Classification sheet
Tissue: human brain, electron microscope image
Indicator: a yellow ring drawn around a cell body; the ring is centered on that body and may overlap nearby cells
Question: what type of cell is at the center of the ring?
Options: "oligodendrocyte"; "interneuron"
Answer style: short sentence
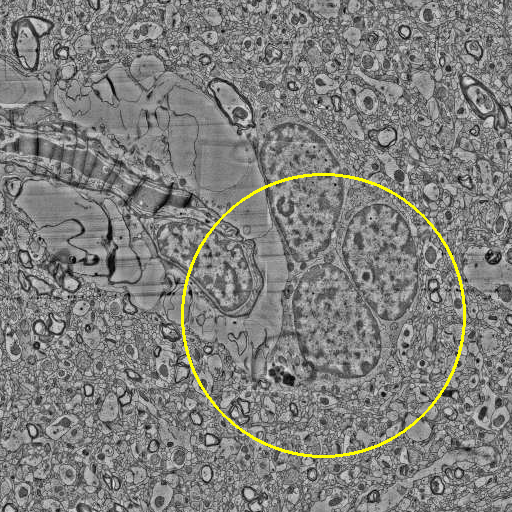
At the ring's center is an oligodendrocyte.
